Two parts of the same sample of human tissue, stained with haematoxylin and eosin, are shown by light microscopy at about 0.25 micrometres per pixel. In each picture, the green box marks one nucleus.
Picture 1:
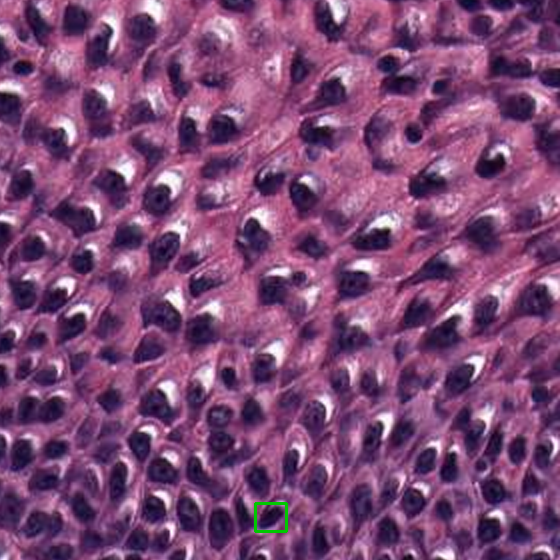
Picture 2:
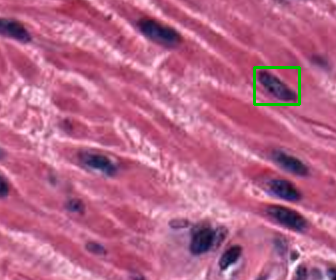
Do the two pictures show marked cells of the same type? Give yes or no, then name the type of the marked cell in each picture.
No, the first is a squamous epithelial cell and the second a smooth muscle cell.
